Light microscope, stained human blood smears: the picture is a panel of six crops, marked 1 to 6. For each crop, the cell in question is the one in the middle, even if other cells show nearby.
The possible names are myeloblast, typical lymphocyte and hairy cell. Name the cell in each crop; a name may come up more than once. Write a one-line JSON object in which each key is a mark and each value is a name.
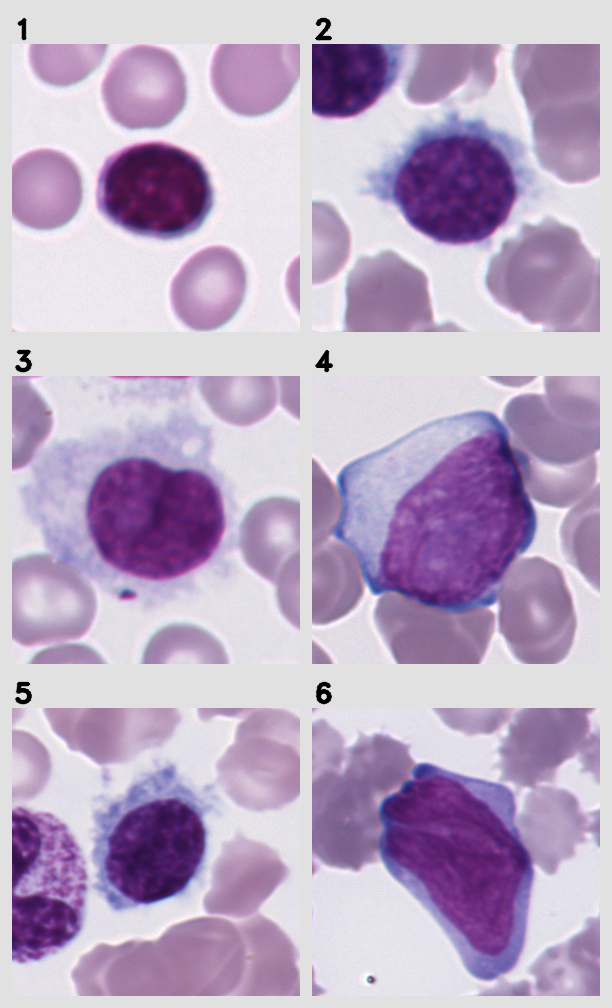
{"1": "typical lymphocyte", "2": "hairy cell", "3": "hairy cell", "4": "myeloblast", "5": "hairy cell", "6": "myeloblast"}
